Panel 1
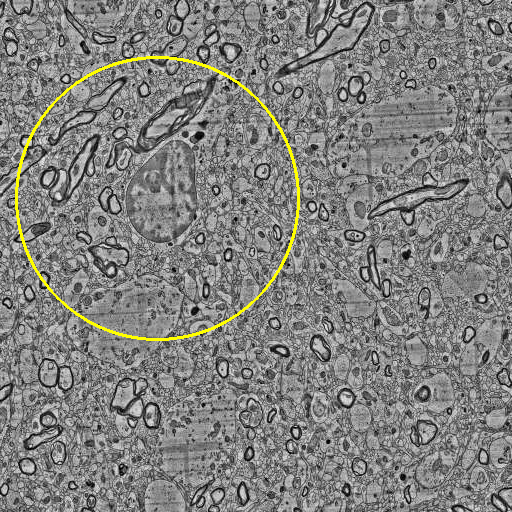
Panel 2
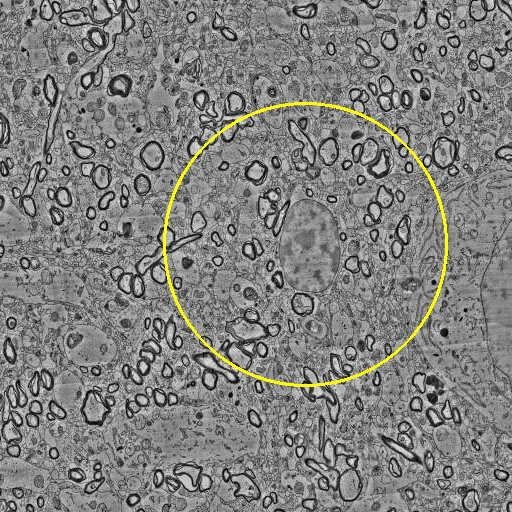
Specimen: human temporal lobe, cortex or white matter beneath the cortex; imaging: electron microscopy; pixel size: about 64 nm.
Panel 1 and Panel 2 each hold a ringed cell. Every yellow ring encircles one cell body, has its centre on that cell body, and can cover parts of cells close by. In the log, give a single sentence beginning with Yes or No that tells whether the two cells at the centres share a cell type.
Yes, in Panel 1 and Panel 2 the centred cells share a cell type.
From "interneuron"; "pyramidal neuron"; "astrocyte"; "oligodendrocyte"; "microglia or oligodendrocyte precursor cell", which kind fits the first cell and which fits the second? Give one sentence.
In each of the two pictures, the ringed cell is a microglial cell or oligodendrocyte precursor cell.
